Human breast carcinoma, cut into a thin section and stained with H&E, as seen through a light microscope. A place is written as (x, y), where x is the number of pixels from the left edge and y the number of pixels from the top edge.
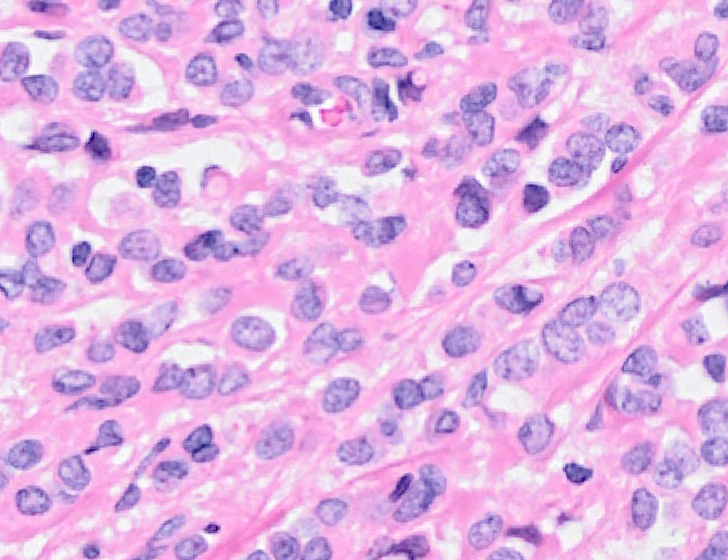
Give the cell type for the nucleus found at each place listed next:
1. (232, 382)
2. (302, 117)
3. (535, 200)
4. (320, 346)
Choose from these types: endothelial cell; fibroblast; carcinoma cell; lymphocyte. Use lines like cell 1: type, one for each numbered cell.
cell 1: carcinoma cell
cell 2: endothelial cell
cell 3: carcinoma cell
cell 4: carcinoma cell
